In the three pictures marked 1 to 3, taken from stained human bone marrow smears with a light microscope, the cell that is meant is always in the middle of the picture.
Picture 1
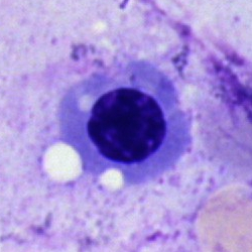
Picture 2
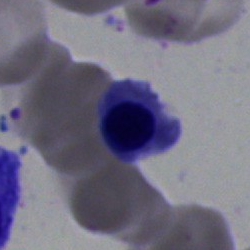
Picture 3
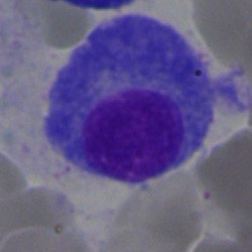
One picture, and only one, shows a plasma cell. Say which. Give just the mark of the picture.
3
